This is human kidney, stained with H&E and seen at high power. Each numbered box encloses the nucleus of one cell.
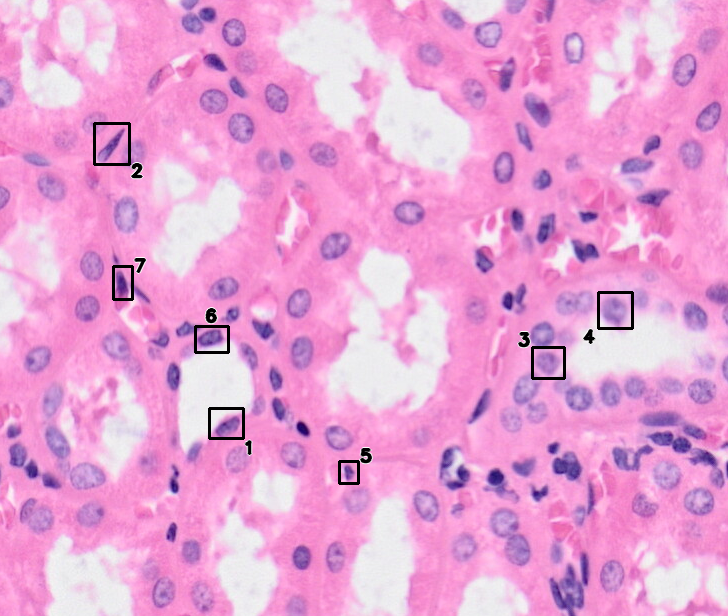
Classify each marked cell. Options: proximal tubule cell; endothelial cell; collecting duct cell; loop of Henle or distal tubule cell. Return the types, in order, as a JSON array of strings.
["loop of Henle or distal tubule cell", "endothelial cell", "collecting duct cell", "collecting duct cell", "endothelial cell", "loop of Henle or distal tubule cell", "endothelial cell"]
